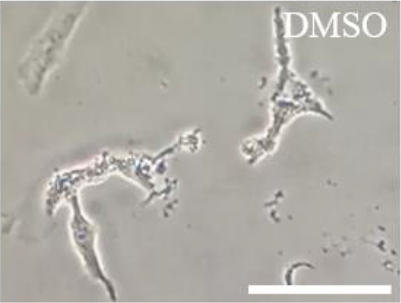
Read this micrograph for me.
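Cultured cells seen unstained in light microscopy, with irregular, branched shapes and several long, thin processes. The cell bodies are narrow and contain fine granular material without large clear vacuoles. Small granules lie along the processes and edges of the cells.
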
